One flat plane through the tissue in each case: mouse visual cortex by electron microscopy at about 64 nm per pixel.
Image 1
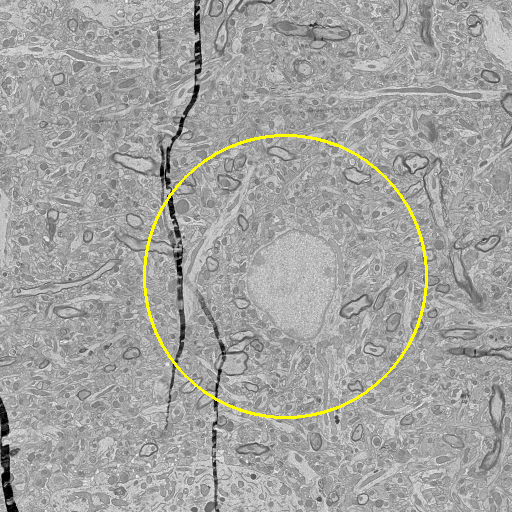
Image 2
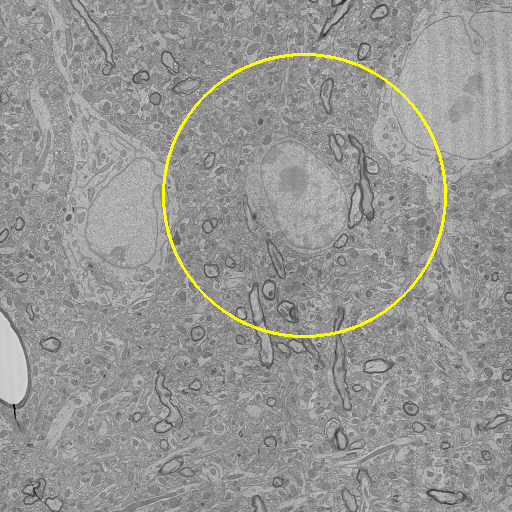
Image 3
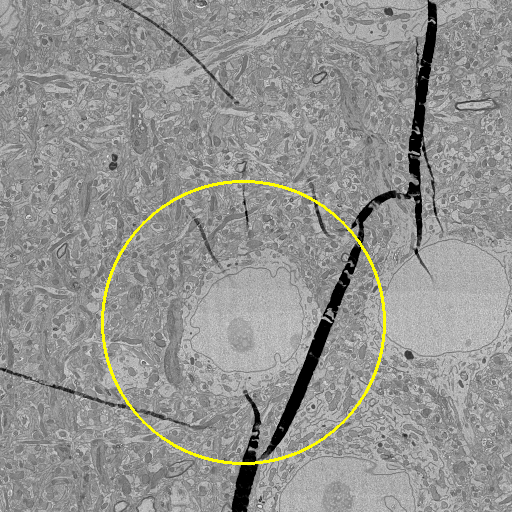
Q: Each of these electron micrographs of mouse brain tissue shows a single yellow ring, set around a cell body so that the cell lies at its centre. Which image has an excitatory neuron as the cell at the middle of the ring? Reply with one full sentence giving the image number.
In image 3, the cell lying at the ring's centre is the requested one.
